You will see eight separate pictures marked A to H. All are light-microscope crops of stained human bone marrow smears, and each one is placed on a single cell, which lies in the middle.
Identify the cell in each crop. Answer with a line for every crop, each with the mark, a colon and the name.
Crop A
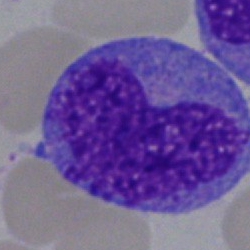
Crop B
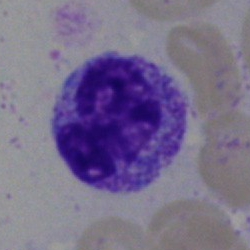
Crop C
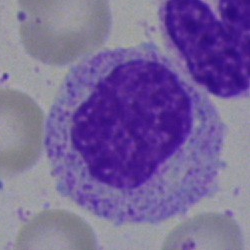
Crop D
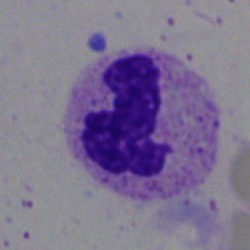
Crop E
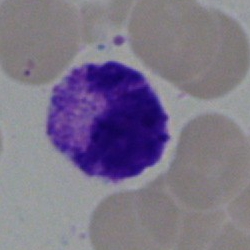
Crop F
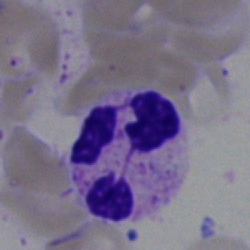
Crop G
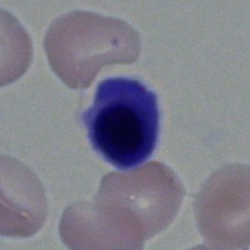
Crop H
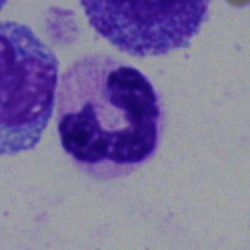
A: monocyte
B: metamyelocyte
C: myelocyte
D: segmented neutrophil
E: basophil
F: segmented neutrophil
G: erythroblast
H: segmented neutrophil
